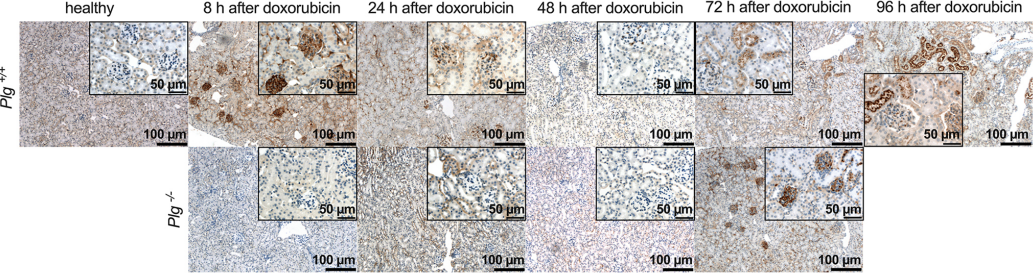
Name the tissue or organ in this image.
Kidneys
